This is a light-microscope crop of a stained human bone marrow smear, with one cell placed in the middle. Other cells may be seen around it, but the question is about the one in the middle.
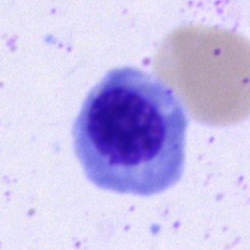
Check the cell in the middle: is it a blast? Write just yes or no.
no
